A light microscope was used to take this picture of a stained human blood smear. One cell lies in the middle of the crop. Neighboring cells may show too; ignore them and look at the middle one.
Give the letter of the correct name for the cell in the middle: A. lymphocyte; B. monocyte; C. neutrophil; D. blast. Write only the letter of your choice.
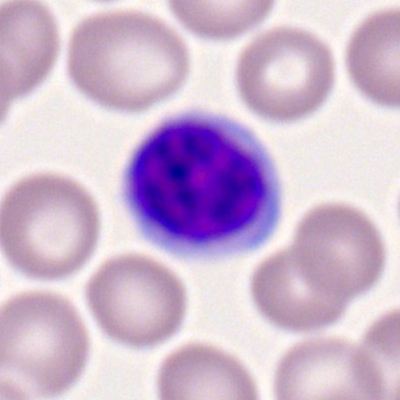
A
